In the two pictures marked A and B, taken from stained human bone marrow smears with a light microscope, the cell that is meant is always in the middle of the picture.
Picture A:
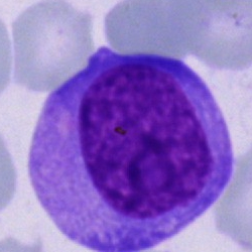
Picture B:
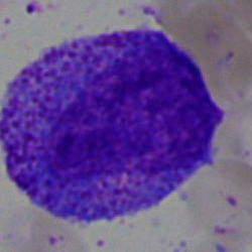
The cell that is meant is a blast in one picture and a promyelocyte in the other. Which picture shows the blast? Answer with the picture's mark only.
A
